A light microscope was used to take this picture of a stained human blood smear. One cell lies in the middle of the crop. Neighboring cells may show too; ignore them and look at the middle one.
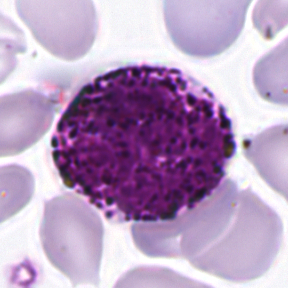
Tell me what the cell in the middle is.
basophil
